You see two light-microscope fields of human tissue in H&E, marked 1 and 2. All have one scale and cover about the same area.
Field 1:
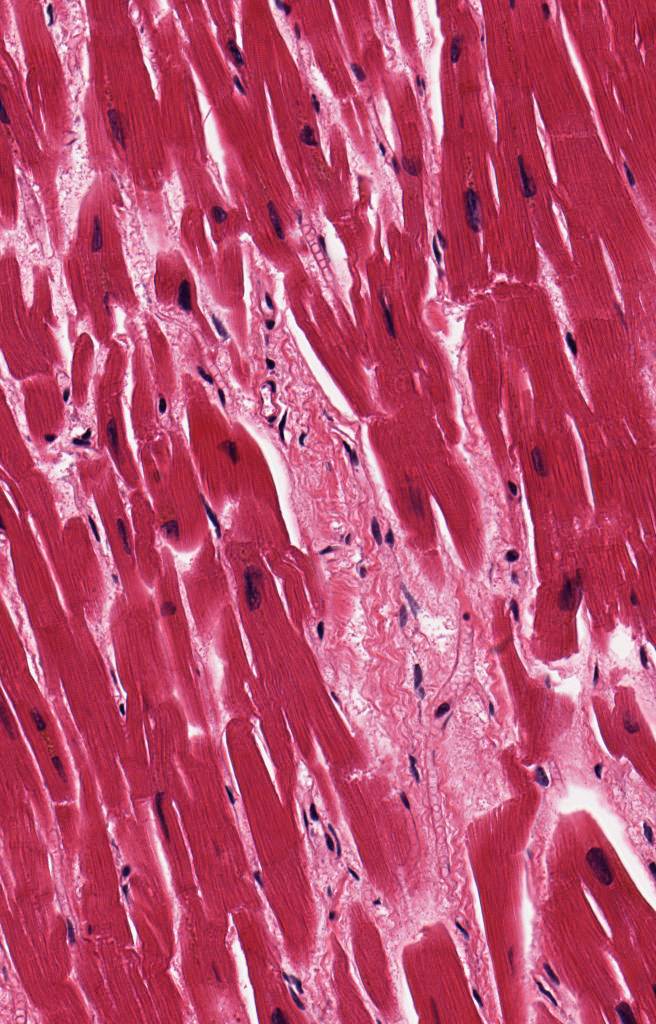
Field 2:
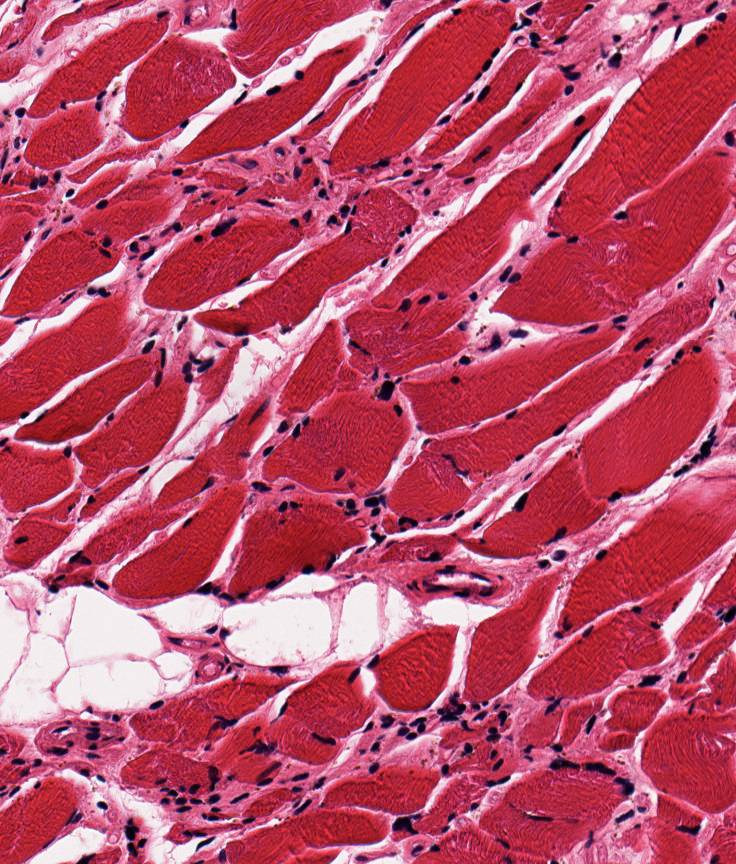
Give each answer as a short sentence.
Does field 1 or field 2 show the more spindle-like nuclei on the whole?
The nuclei are more elongated in field 1.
